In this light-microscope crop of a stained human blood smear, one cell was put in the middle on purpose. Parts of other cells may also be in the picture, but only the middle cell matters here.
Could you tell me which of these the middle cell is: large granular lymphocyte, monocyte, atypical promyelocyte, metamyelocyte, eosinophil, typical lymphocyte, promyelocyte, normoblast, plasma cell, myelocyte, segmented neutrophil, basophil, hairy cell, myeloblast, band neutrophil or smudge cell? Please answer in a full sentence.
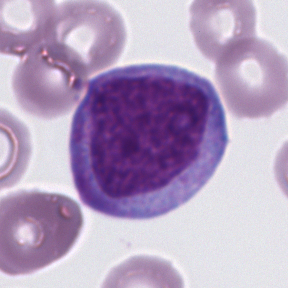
For this crop, the cell in the middle is an atypical promyelocyte.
